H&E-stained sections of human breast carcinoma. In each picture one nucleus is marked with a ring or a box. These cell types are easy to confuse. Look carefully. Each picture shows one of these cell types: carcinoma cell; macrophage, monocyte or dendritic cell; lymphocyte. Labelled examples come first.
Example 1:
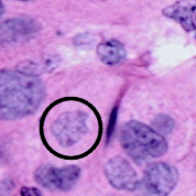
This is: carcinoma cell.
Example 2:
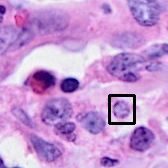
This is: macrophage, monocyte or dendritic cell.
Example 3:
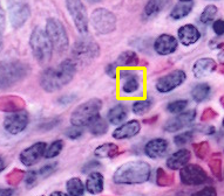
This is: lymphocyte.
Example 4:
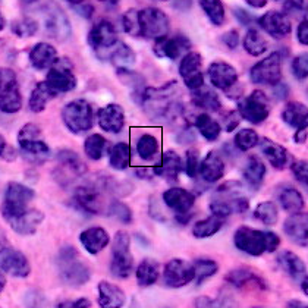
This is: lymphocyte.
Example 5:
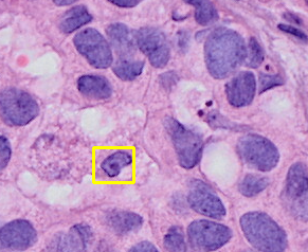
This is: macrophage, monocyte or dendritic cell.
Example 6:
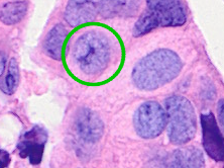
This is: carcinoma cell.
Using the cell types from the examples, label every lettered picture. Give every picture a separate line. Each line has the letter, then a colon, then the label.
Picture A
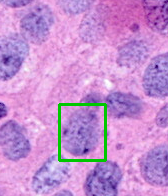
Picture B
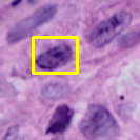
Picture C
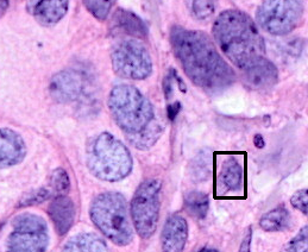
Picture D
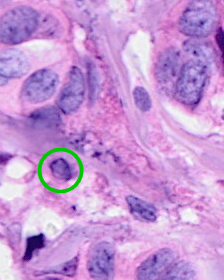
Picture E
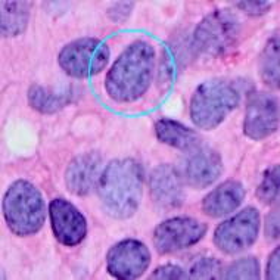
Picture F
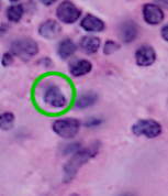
A: carcinoma cell.
B: macrophage, monocyte or dendritic cell.
C: macrophage, monocyte or dendritic cell.
D: macrophage, monocyte or dendritic cell.
E: carcinoma cell.
F: lymphocyte.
